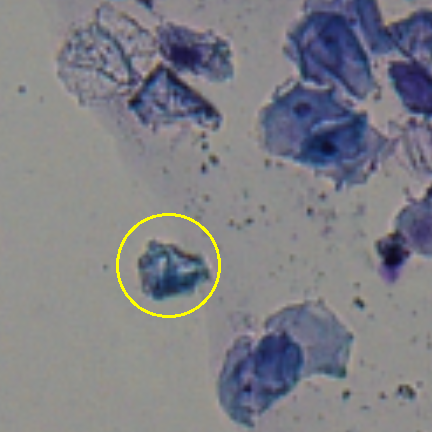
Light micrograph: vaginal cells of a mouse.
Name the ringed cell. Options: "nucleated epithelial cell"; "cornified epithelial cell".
cornified epithelial cell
